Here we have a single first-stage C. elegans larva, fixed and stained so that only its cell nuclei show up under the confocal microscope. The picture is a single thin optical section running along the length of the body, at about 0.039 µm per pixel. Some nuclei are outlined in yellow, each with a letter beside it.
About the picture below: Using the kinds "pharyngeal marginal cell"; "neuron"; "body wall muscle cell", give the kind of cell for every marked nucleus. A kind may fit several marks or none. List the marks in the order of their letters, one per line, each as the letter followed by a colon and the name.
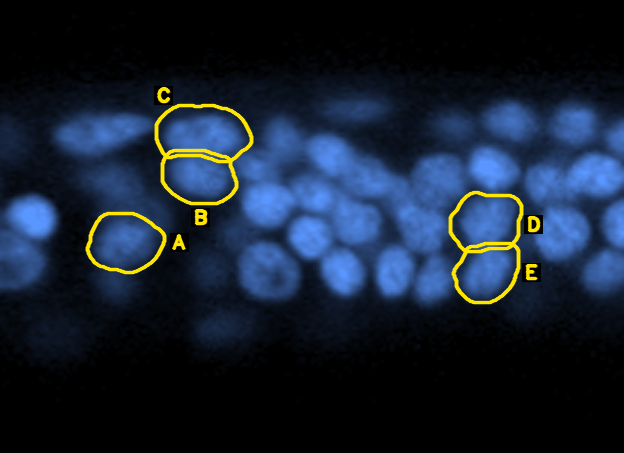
A: pharyngeal marginal cell
B: neuron
C: body wall muscle cell
D: neuron
E: neuron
